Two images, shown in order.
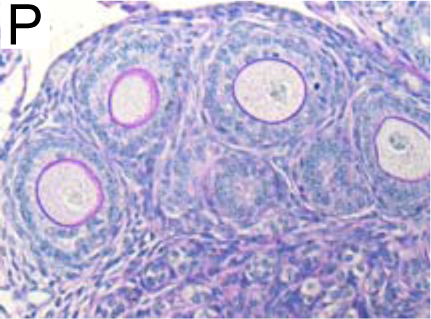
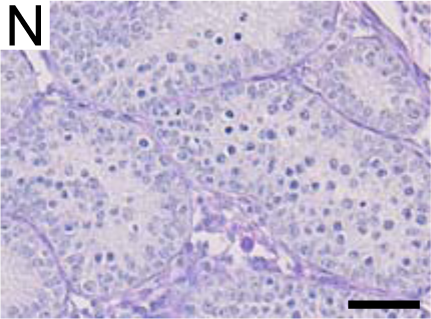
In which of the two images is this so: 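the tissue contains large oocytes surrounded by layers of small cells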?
The first image.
